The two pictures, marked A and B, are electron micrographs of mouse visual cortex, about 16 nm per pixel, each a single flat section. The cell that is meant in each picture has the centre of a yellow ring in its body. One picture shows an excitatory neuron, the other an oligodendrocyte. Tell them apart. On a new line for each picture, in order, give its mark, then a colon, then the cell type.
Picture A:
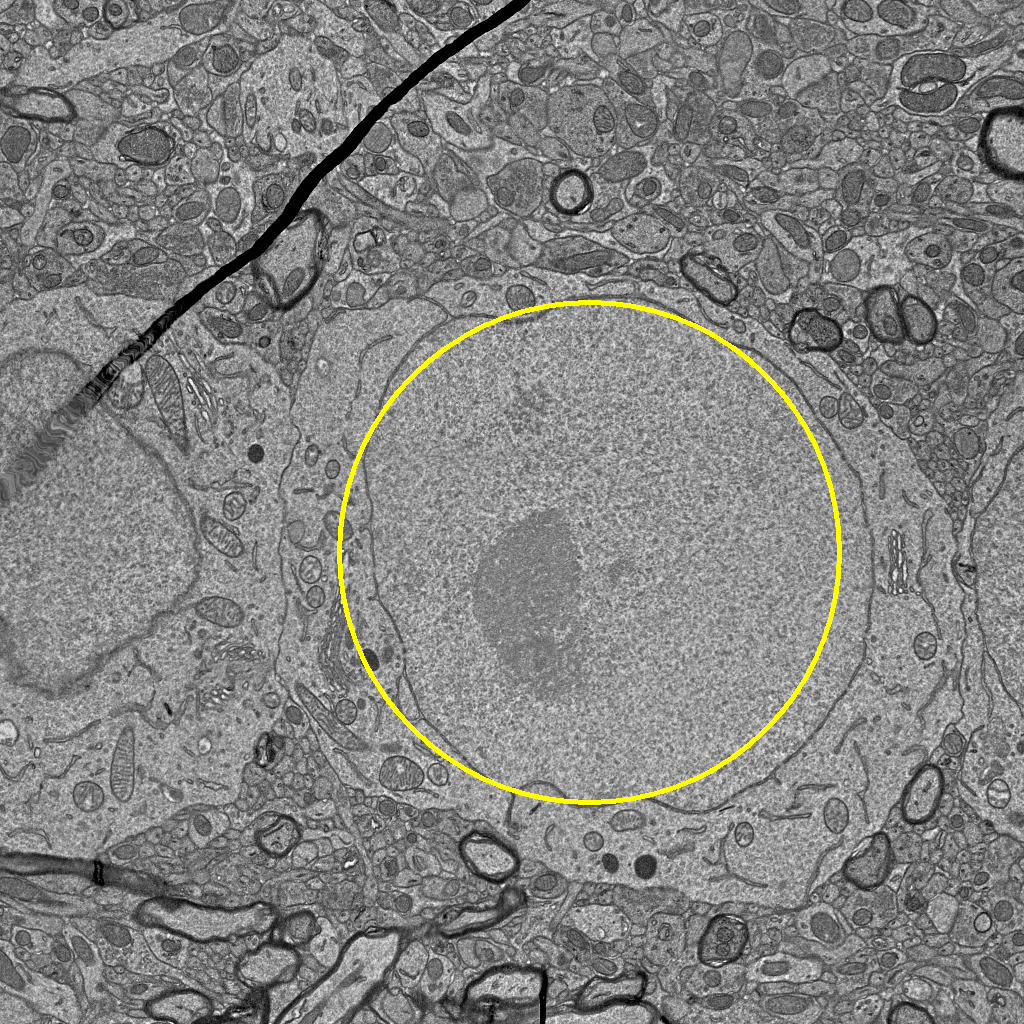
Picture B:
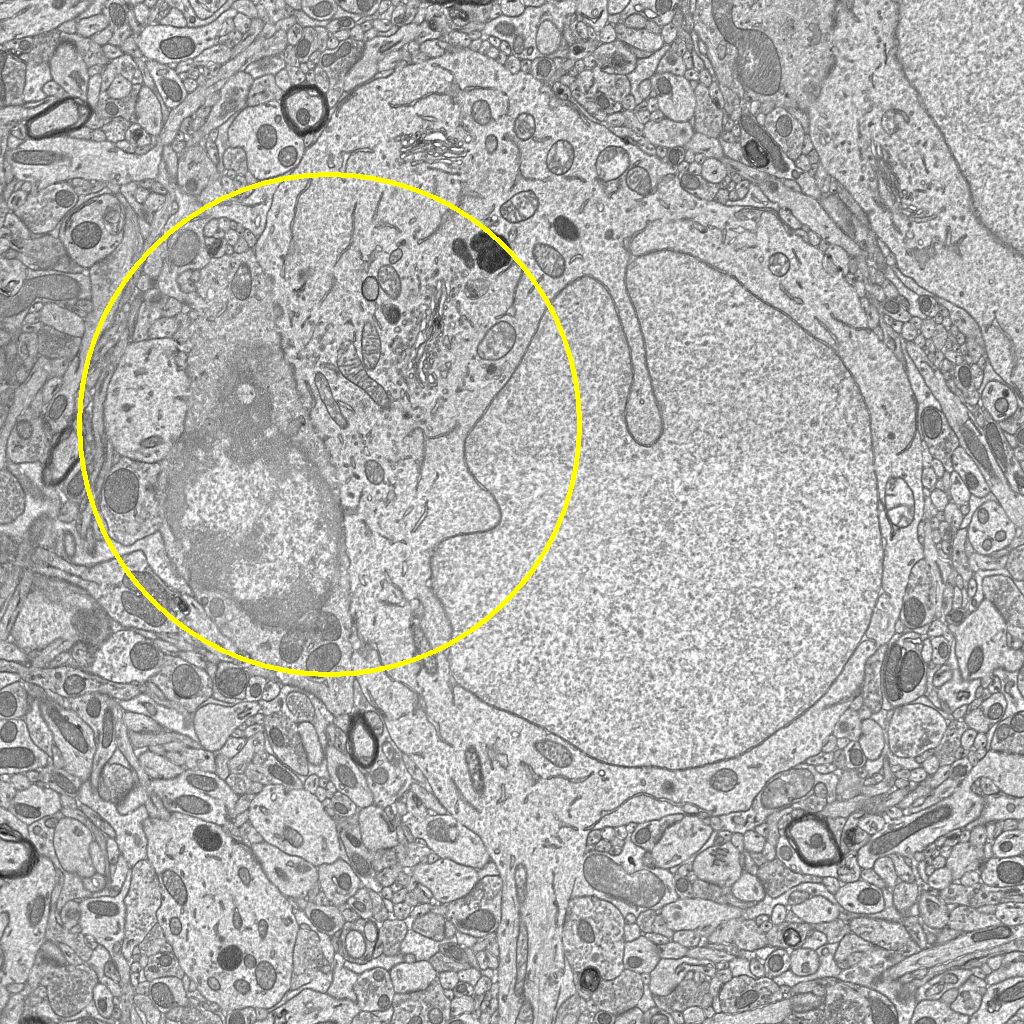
A: excitatory neuron
B: oligodendrocyte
